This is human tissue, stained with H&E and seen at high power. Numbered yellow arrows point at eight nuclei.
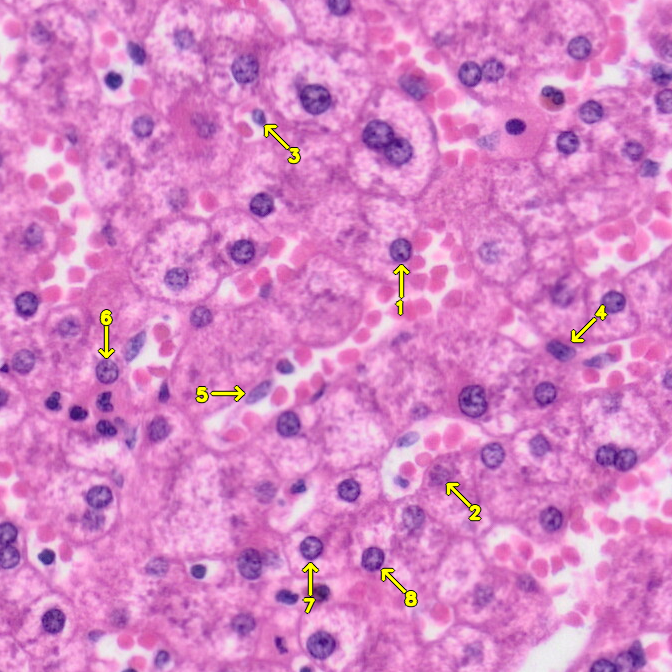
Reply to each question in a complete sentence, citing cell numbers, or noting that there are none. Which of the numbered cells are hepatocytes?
The cells carrying labels 1, 2, 6, 7 and 8 are hepatocytes.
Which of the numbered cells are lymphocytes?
Just the cell marked 3 is a lymphocyte; none of the other marked cells is.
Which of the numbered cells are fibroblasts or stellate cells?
Only the cell numbered 4 qualifies as a fibroblast or stellate cell among the marked cells.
